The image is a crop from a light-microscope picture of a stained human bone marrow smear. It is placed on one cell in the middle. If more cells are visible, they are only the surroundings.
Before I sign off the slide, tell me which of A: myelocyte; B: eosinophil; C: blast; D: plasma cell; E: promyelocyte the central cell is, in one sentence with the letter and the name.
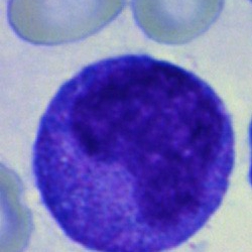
The cell in the center of this crop is a promyelocyte, so option E is the one to pick.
